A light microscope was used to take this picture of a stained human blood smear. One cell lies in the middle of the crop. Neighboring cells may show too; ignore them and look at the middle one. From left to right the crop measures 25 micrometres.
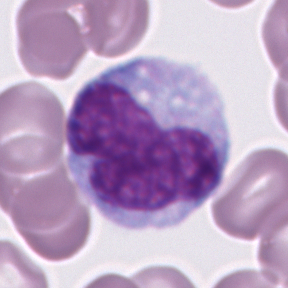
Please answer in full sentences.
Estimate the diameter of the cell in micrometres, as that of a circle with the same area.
The diameter of the cell comes to about 15 micrometres.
